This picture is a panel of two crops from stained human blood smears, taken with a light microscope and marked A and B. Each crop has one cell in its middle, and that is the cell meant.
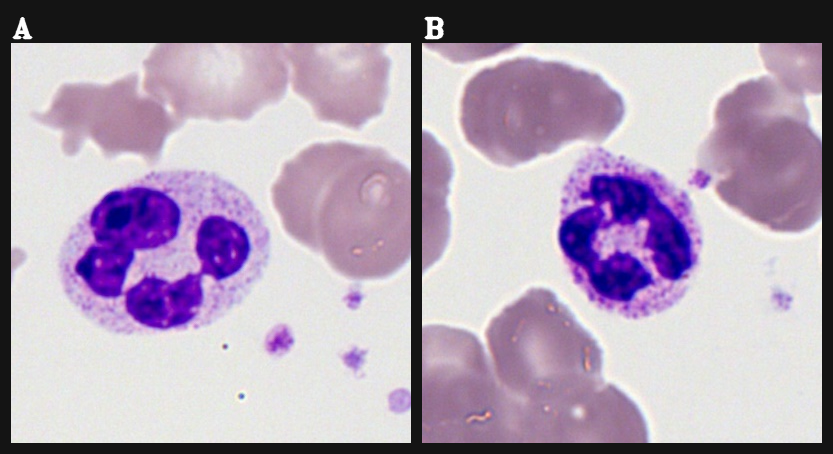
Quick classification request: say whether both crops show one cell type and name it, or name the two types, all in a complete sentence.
Yes, the central cells of both crops are segmented neutrophils.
